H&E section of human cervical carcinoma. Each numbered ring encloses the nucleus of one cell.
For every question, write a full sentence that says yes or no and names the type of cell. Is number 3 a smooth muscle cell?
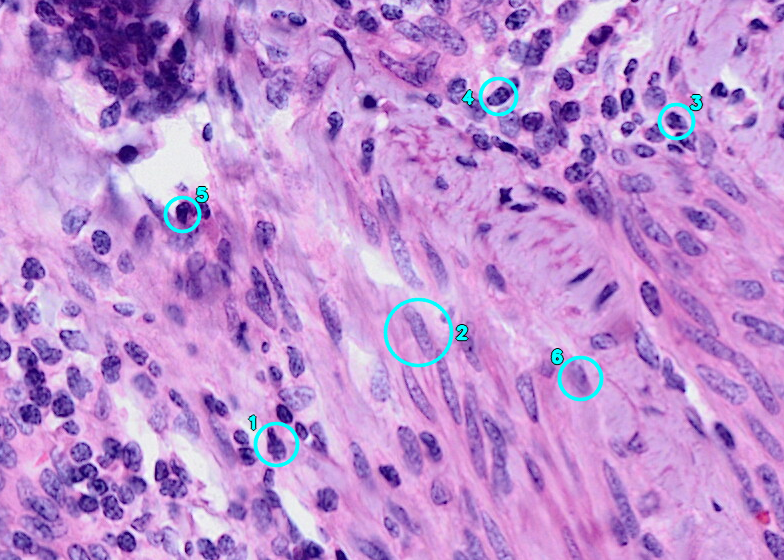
No, not a smooth muscle cell: the cell with number 3 is a lymphocyte.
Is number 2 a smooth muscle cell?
Yes, the marked cell number 2 is a smooth muscle cell.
